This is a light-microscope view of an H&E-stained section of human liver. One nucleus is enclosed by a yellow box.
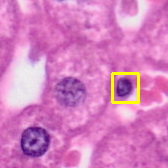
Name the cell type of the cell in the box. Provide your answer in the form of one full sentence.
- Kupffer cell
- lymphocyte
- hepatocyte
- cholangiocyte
It is as a Kupffer cell that the cell in the box is classified.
